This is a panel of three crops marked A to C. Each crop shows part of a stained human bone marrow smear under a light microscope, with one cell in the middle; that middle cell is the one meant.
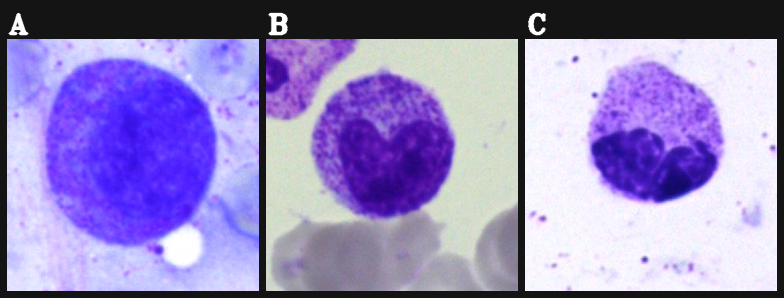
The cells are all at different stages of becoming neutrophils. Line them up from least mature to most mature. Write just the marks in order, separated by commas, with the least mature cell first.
A, B, C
